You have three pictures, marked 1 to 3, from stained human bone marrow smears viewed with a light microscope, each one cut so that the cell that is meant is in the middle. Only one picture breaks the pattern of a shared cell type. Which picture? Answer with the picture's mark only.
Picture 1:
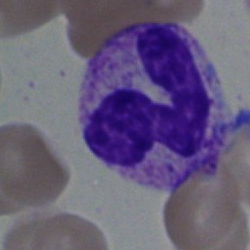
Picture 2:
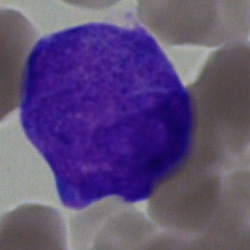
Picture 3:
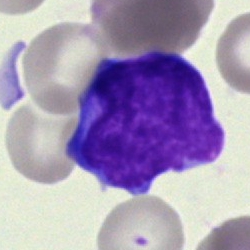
1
